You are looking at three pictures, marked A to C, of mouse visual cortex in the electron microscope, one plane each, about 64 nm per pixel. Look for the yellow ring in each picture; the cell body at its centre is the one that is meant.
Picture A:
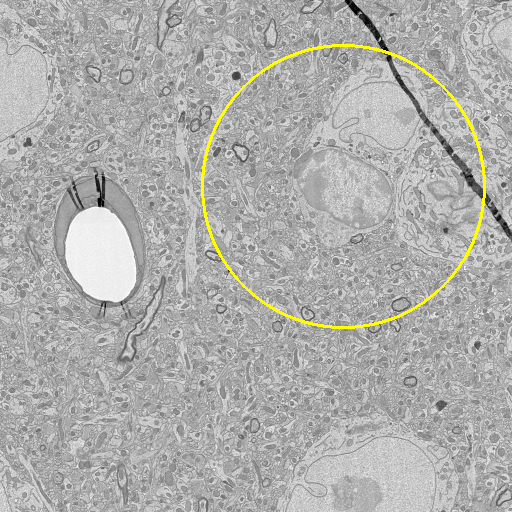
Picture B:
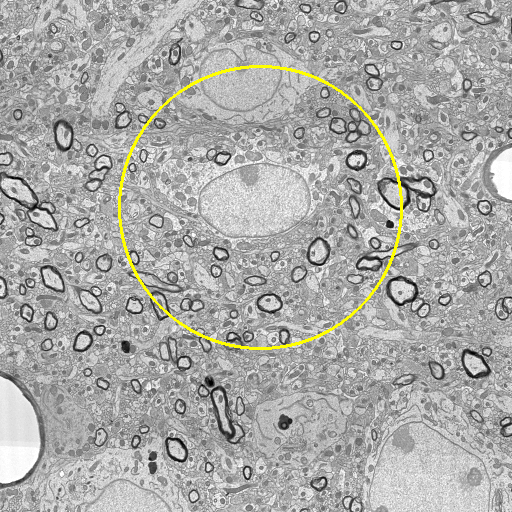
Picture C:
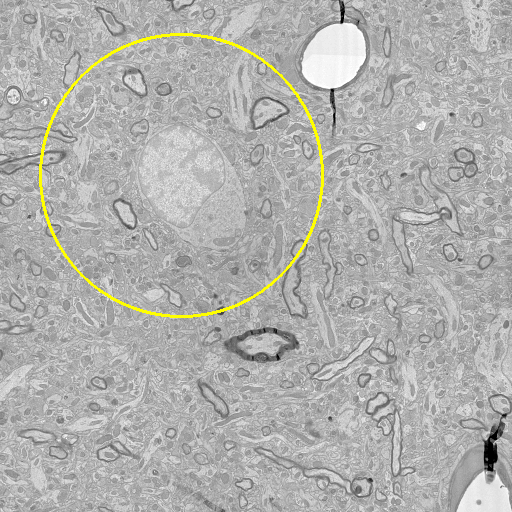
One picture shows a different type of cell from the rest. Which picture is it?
All pictures except B show oligodendrocytes; picture B shows an astrocyte.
